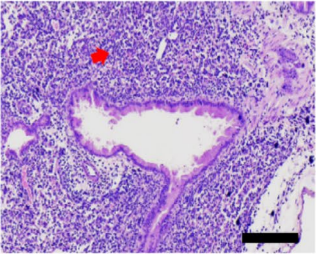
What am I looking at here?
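This is lung tissue stained with hematoxylin and eosin, showing an airway surrounded by lung tissue that is heavily packed with inflammatory cells. The airway is lined by a pink-purple epithelium that borders a clear, white lumen. Around it, the normally lacy pattern of air spaces has almost disappeared. In its place lies a dense sheet of small, dark purple nuclei crowded closely together. The arrow points into this crowded region, where leukocytes have infiltrated and filled the tissue. Only a few small open spaces remain at the edges of the field.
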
